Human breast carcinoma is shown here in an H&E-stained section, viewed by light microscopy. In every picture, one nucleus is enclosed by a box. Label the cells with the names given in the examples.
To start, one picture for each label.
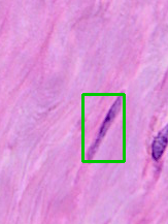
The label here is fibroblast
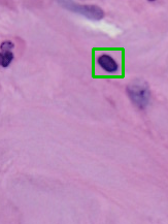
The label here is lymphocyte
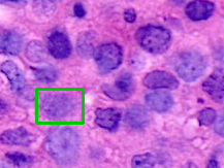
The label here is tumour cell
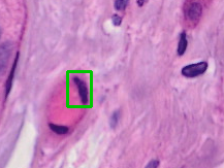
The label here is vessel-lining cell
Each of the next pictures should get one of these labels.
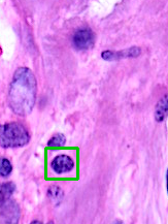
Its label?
lymphocyte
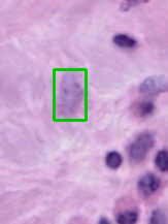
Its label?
fibroblast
